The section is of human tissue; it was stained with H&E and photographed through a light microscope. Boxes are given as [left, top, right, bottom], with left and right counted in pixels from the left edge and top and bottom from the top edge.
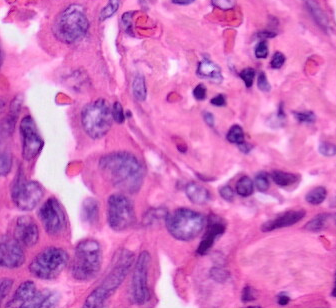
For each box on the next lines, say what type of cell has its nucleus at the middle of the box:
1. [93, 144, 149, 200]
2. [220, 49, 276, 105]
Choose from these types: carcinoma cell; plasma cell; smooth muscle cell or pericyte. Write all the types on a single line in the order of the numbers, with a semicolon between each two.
carcinoma cell; plasma cell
